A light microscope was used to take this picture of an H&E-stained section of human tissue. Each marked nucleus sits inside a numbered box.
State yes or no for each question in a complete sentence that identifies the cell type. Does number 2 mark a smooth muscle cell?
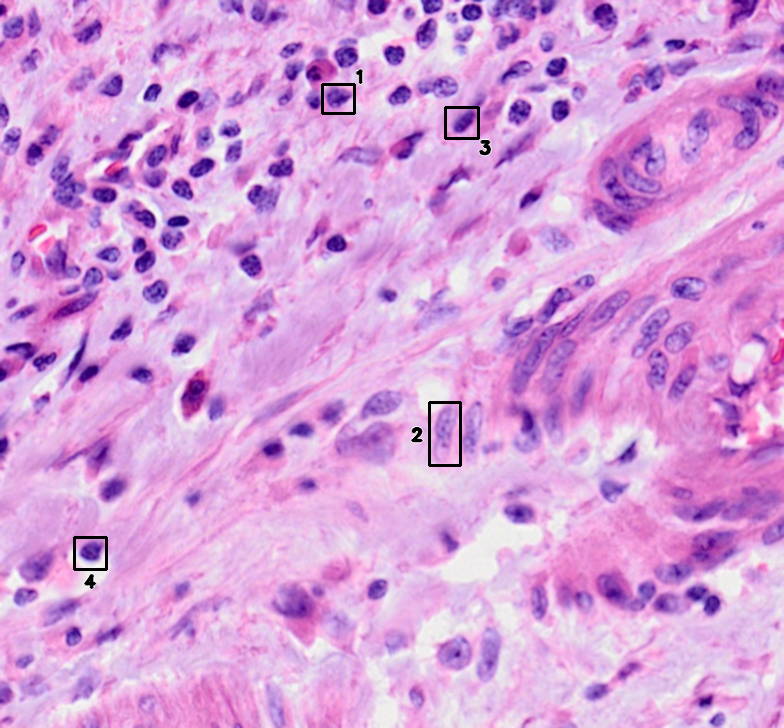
Yes, regarding cell number 2, it is a smooth muscle cell.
